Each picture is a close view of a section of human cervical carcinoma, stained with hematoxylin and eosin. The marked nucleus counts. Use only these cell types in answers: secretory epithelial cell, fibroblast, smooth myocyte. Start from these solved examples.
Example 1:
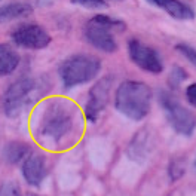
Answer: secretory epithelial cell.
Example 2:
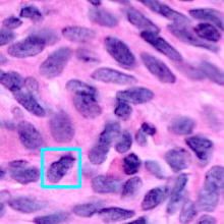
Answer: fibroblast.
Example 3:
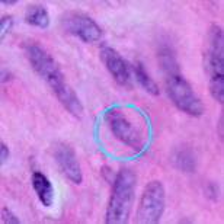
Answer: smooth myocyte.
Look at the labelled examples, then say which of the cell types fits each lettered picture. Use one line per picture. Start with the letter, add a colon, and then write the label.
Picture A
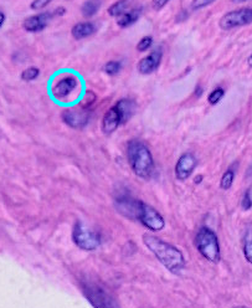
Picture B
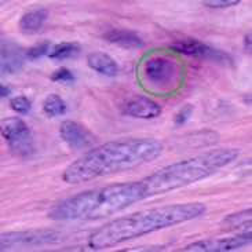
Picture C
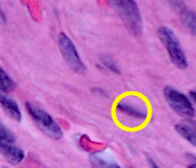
A: smooth myocyte.
B: smooth myocyte.
C: fibroblast.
